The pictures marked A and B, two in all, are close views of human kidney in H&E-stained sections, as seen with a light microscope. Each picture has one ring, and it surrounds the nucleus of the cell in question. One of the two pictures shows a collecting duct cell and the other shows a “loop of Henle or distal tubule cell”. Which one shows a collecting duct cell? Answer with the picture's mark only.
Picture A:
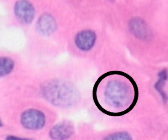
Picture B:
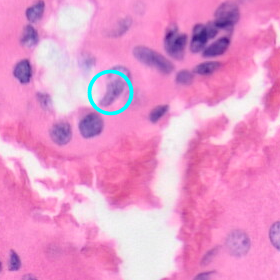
B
